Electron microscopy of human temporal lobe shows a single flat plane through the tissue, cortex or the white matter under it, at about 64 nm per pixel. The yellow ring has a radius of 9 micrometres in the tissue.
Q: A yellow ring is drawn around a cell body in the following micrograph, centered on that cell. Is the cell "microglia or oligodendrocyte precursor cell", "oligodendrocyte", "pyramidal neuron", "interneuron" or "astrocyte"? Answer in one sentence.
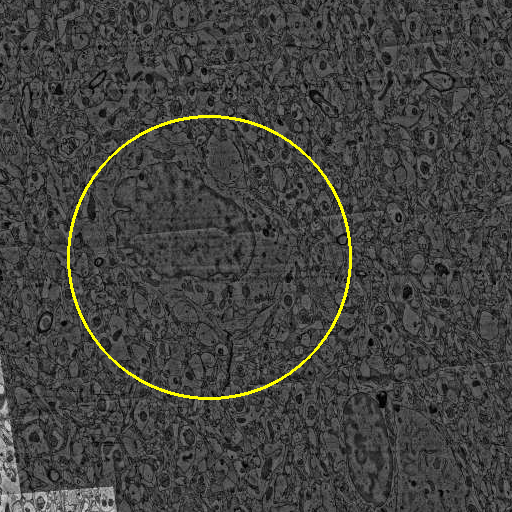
The cell in the center of the ring is an interneuron.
